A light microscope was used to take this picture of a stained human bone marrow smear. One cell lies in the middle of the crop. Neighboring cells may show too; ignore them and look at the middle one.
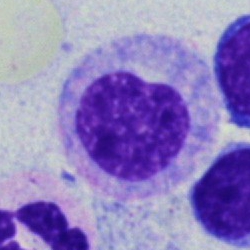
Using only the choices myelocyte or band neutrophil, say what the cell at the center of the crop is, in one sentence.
The cell at the heart of this crop is a myelocyte.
